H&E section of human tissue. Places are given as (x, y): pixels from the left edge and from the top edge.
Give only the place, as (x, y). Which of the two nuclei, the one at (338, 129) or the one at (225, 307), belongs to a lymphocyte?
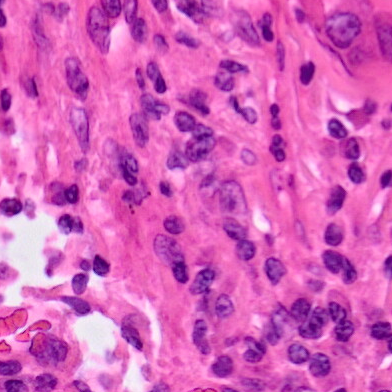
(338, 129)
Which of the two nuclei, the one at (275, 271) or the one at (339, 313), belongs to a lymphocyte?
(275, 271)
